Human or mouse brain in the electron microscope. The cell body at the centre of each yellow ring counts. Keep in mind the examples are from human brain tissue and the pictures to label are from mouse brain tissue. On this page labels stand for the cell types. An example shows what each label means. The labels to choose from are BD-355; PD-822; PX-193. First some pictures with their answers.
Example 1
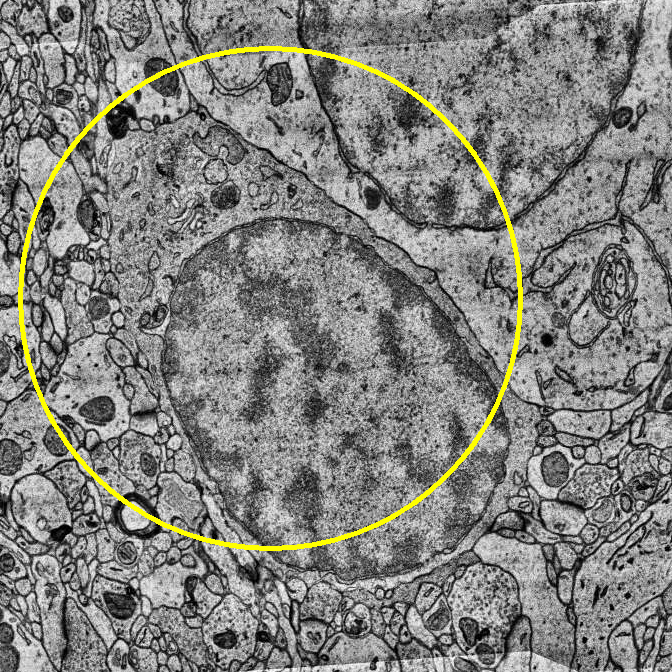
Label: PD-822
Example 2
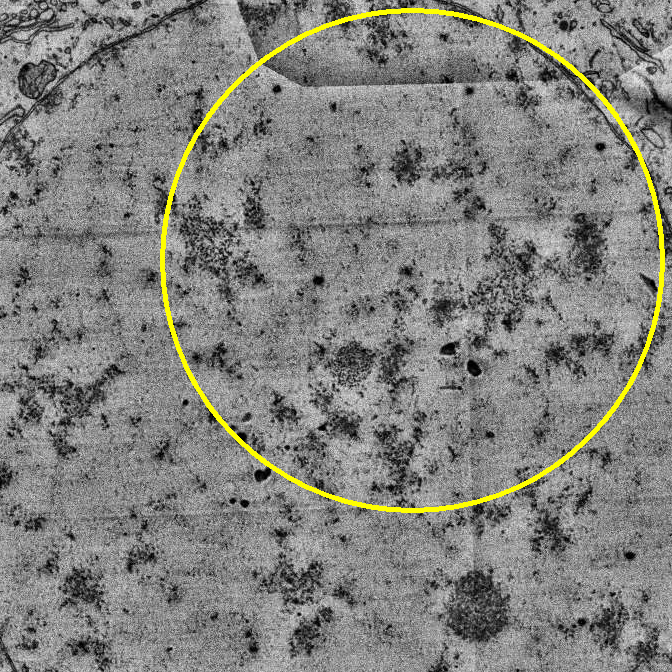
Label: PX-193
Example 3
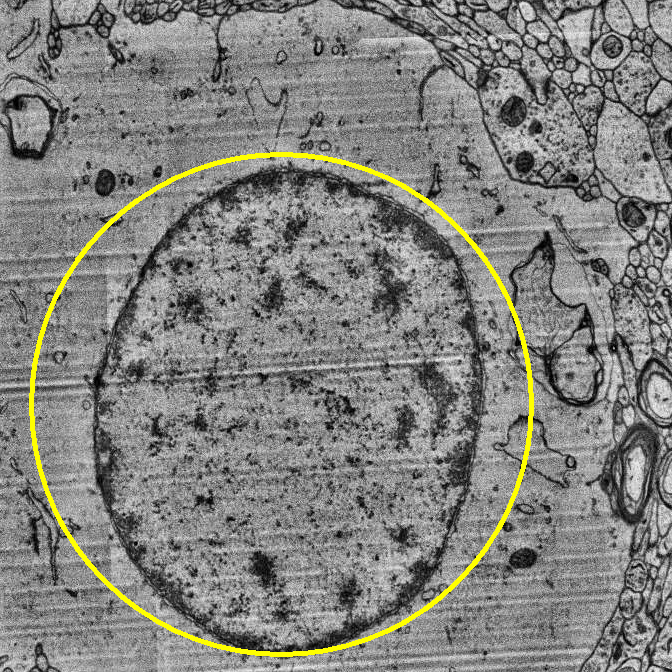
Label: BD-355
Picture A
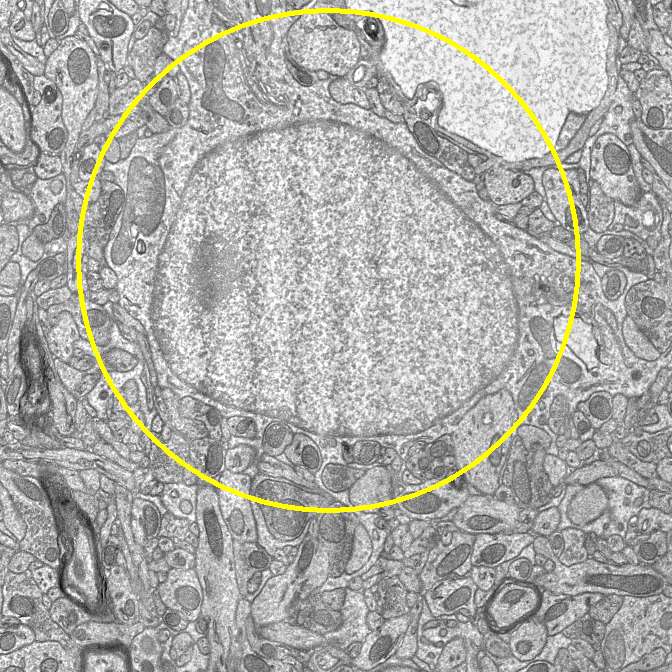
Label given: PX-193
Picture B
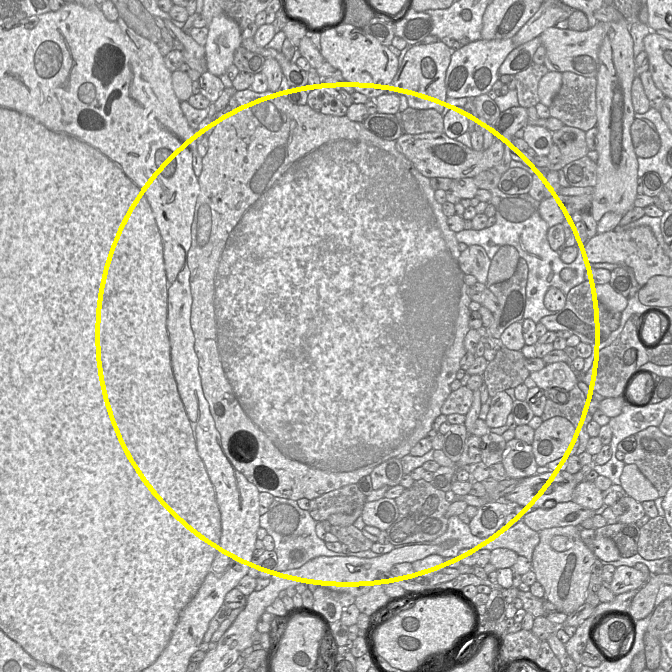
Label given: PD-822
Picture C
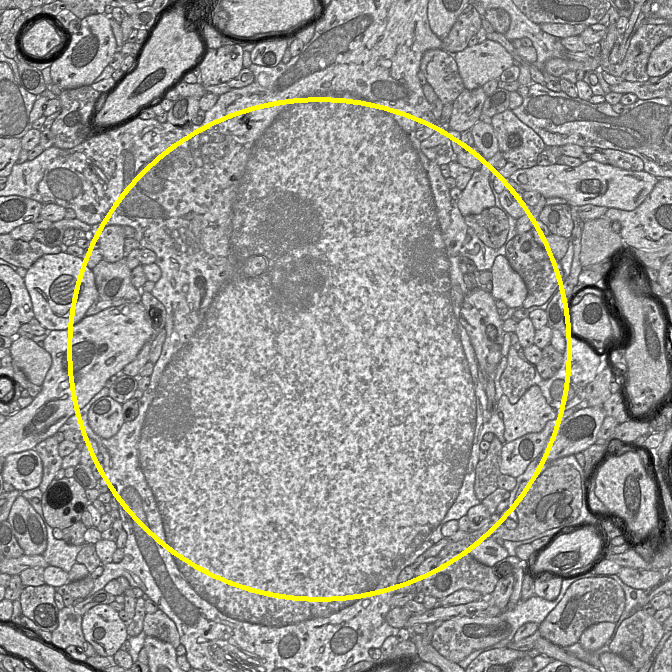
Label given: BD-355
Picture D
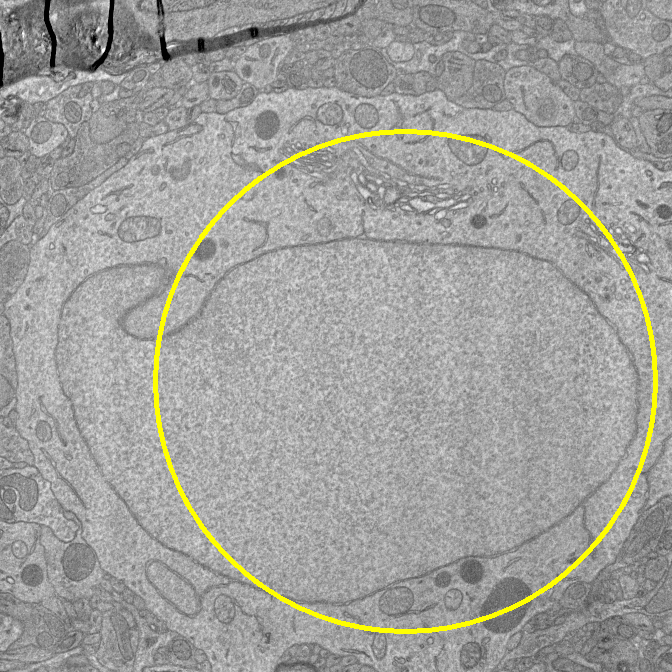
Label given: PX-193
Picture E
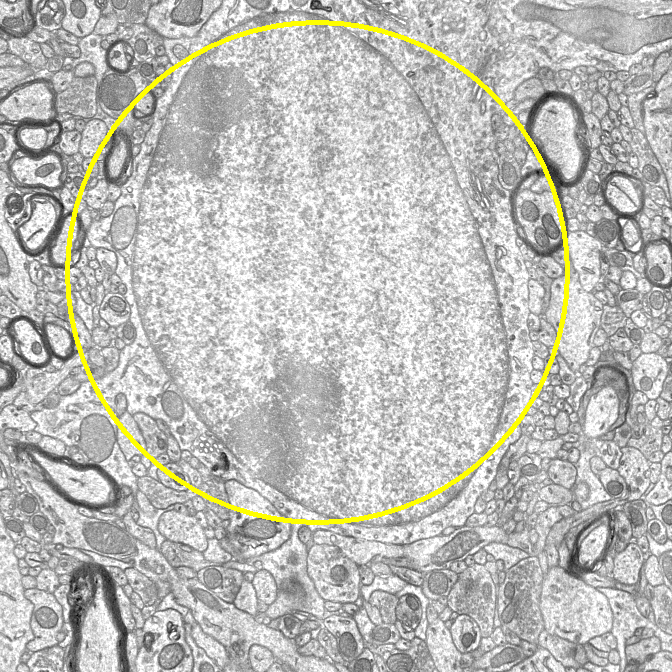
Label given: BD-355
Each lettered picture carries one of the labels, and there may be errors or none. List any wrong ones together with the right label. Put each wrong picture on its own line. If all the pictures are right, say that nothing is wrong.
A is labelled PX-193; correct label: BD-355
